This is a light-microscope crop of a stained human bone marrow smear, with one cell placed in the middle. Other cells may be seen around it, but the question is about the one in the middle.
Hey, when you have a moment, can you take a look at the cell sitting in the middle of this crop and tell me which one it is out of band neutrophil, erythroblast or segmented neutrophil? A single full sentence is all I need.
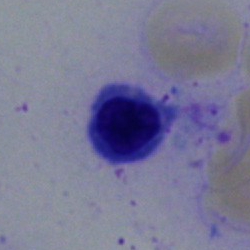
As for the cell in the middle, it is an erythroblast.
